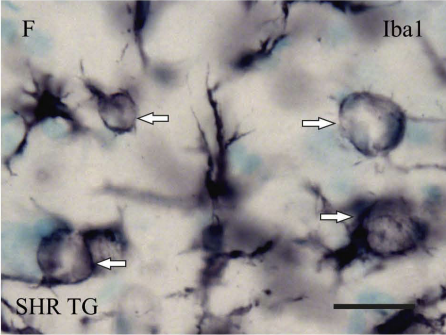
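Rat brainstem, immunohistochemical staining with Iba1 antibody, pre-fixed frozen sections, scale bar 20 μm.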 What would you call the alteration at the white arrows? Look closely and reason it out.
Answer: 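The arrows point to round, ring-like profiles with a dark rim and paler interior. Dark stained processes wrap around some of these round profiles. So: presumptive phagocytosis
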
